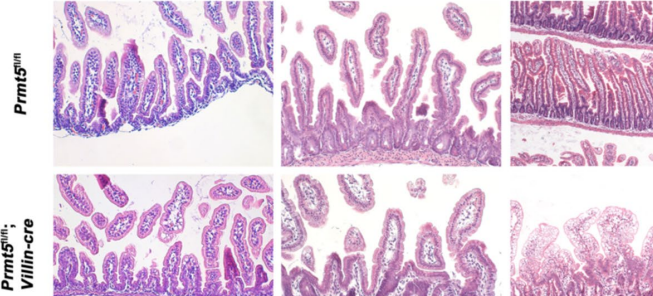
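These are sections of intestine showing villi lined by a single layer of columnar epithelial cells, stained pink with purple nuclei. In most images the villi are slender and finger-like with a pale connective tissue core, and short glands lie at their bases above a thin muscular wall. In the lower right image the villi are pale, irregular and blunted, with a disorganised mucosa.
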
